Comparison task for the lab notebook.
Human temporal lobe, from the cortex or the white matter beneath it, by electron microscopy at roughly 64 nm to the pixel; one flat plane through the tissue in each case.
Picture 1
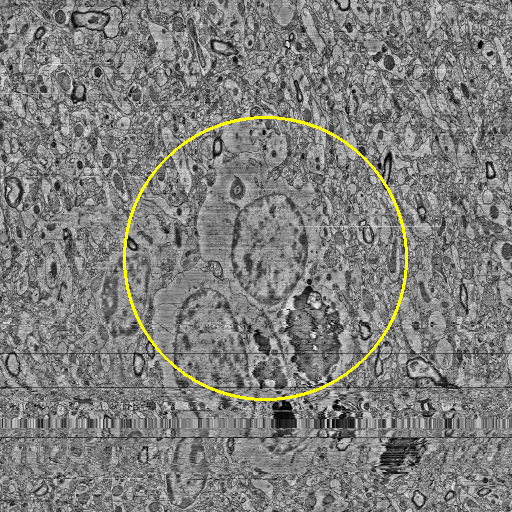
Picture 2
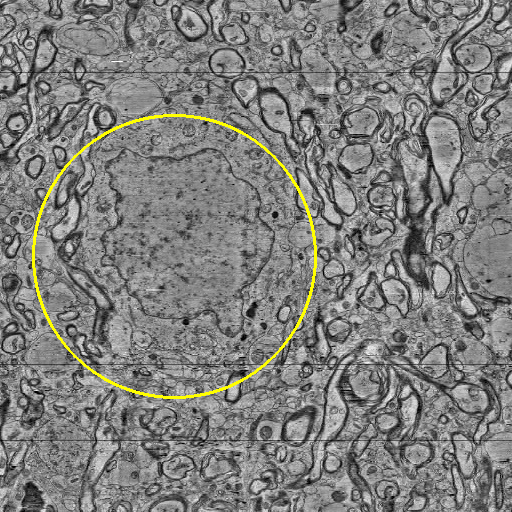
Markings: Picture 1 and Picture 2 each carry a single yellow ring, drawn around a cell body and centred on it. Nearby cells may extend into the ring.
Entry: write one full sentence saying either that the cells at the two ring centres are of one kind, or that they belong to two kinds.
The cells sitting at the ring centres in Picture 1 and Picture 2 belong to two kinds.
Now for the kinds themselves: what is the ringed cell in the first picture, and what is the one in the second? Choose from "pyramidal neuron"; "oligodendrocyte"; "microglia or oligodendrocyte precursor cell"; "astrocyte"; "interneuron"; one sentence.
Here the first cell is an astrocyte and the second cell is a pyramidal neuron.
